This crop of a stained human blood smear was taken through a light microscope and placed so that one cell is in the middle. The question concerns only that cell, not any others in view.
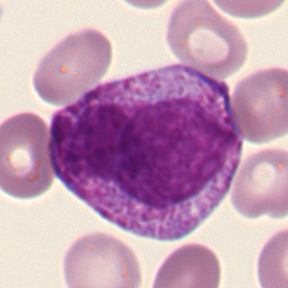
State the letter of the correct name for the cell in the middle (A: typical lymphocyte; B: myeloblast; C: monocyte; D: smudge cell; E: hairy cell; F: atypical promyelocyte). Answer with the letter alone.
F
